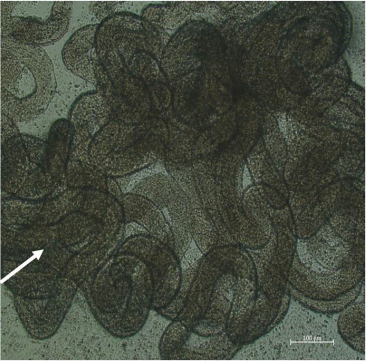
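Dispersed seminiferous tubules lie tangled in loose coils, each a long convoluted tube with a dark, densely cellular wall. The tubules keep their tubular form and bend back on themselves in many loops.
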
